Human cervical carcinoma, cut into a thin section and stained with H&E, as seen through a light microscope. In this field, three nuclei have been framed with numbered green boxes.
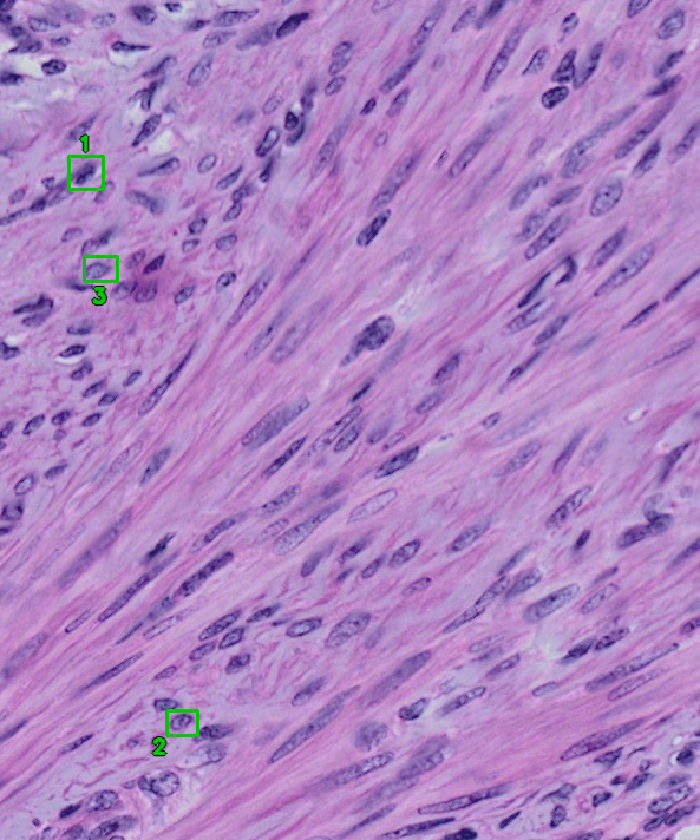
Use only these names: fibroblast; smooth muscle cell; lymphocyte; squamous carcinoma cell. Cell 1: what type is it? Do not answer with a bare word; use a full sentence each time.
The cell that is numbered 1 is a lymphocyte.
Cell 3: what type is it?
The cell pointed out by number 3 is a smooth muscle cell.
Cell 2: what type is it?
The correct answer for cell 2 is a smooth muscle cell.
